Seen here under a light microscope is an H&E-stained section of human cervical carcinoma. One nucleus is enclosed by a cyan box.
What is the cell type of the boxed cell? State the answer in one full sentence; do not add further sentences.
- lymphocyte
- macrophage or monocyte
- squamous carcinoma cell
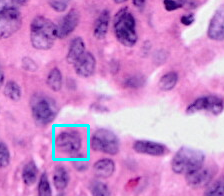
In short, the boxed cell on this section is a squamous carcinoma cell.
